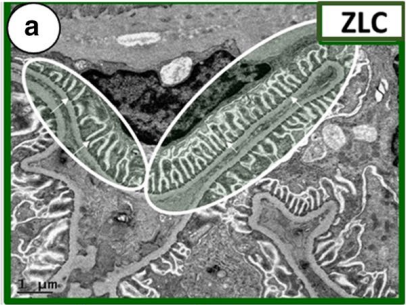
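Along a thin dense membrane lie rows of small, evenly spaced finger-like projections, each separated from the next by a narrow gap, running in two curved bands. Between the bands sits a cell body with a dark, dense nucleus. The regular comb-like arrangement of projections resting on the membrane is the typical look of podocyte foot processes. The narrow gaps between them are the slit pores of the filtration barrier. The overall pattern appears orderly and intact, as in a normal glomerular podocyte.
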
